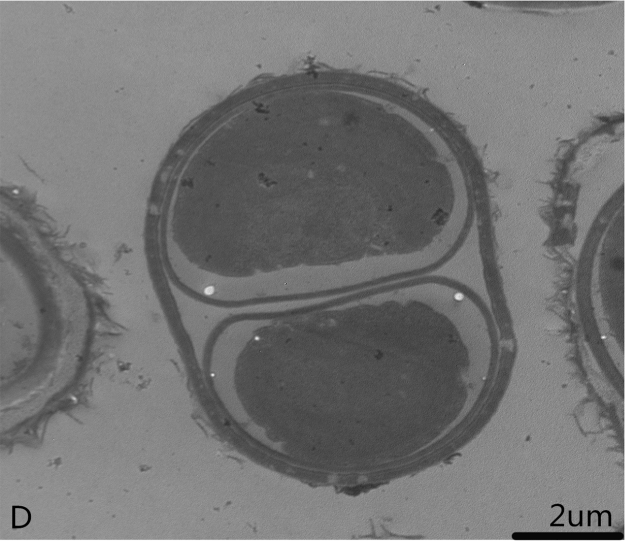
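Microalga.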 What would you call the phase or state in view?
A: cell division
